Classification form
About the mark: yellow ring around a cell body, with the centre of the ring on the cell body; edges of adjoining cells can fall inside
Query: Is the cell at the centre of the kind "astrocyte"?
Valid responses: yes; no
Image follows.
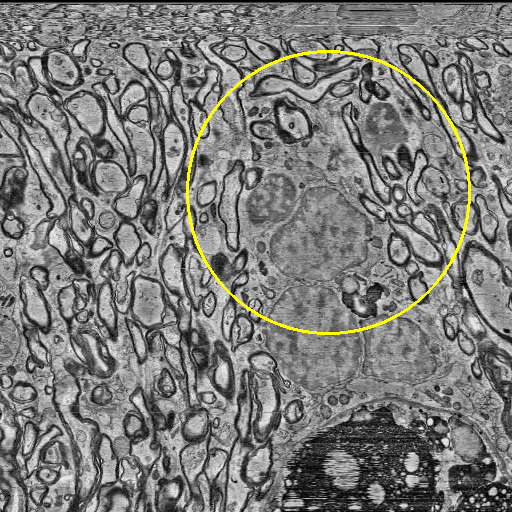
no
